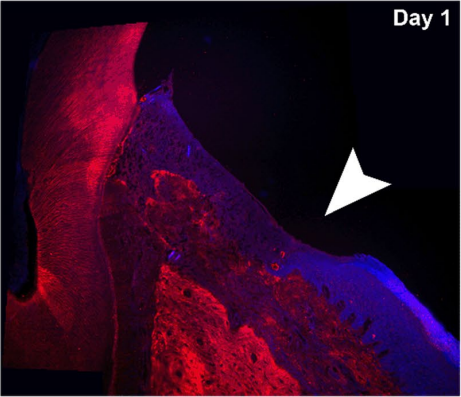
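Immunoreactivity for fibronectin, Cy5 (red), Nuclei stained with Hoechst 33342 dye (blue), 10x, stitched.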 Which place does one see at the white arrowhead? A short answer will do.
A: Wound edge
